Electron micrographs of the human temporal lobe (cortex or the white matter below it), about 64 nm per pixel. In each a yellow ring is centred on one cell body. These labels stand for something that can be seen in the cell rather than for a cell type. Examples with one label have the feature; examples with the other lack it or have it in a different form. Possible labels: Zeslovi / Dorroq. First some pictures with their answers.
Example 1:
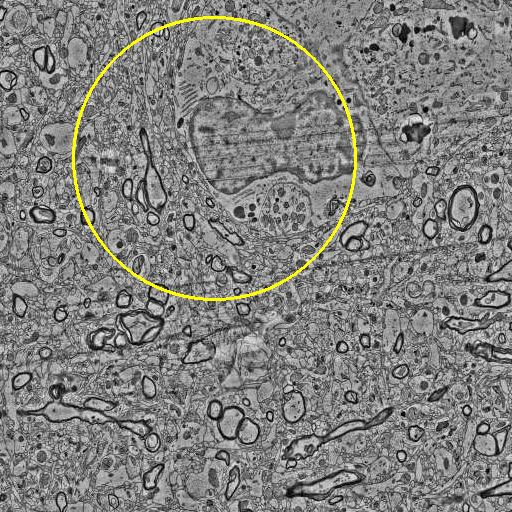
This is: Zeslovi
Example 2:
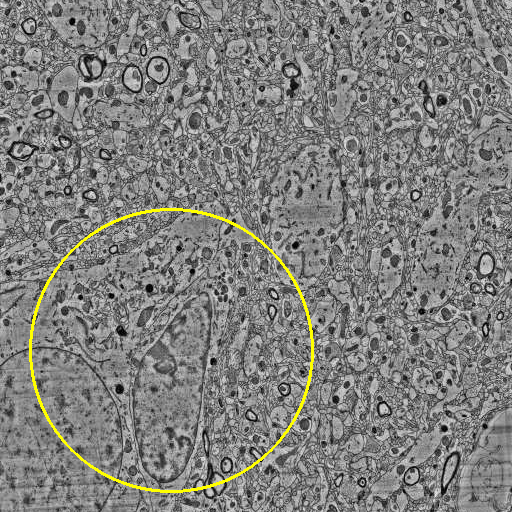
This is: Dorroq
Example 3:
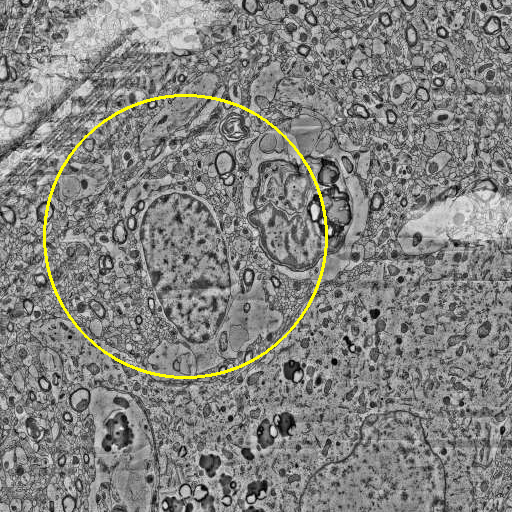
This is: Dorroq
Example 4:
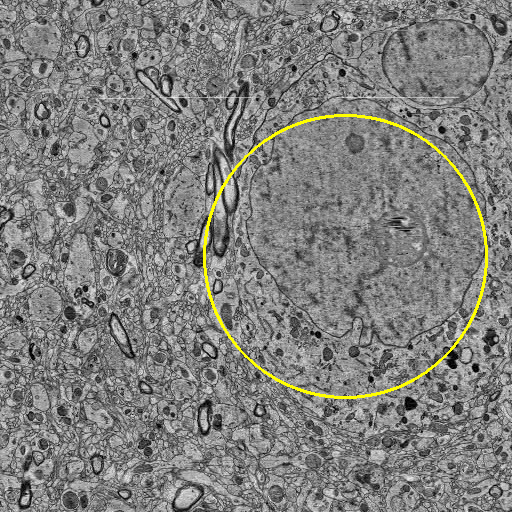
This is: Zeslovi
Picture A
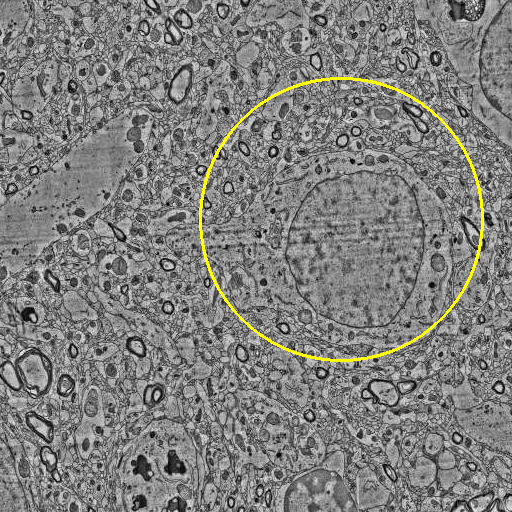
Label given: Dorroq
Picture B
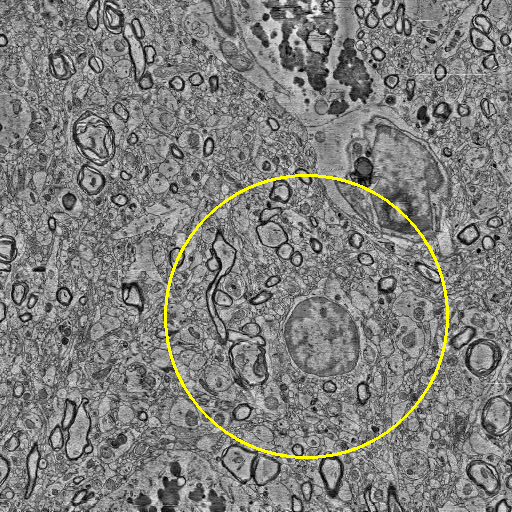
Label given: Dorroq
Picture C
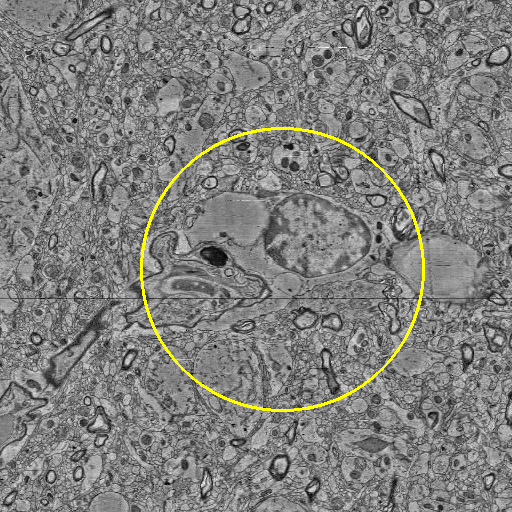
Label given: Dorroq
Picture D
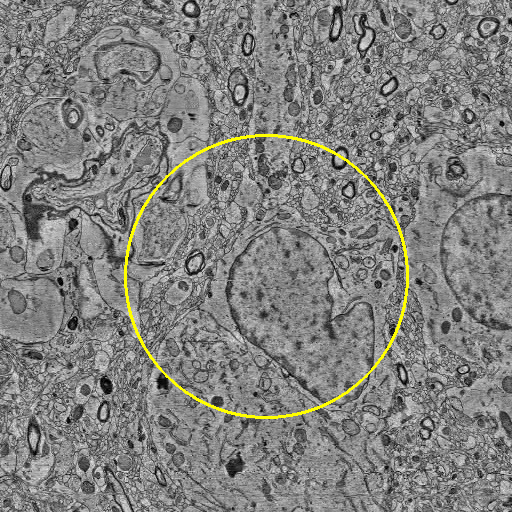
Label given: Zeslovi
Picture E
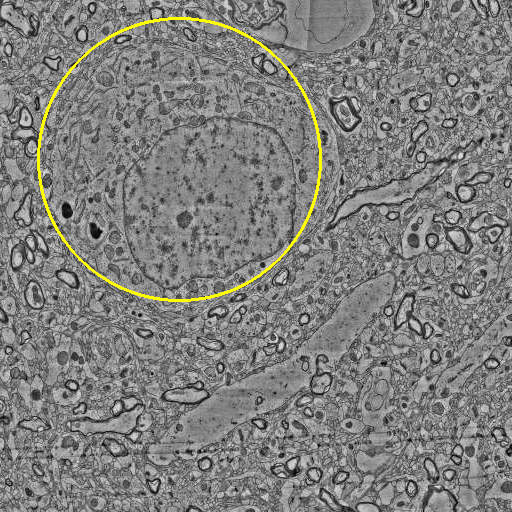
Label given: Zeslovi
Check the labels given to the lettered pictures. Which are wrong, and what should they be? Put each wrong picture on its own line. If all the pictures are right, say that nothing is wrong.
E should be Dorroq, not Zeslovi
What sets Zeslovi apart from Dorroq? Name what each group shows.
Seen in Zeslovi: deeply folded or indented nuclear envelopes; seen in Dorroq: smooth nuclear envelopes without deep folds.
